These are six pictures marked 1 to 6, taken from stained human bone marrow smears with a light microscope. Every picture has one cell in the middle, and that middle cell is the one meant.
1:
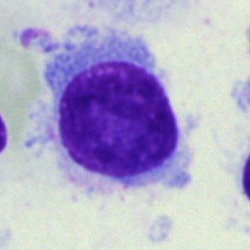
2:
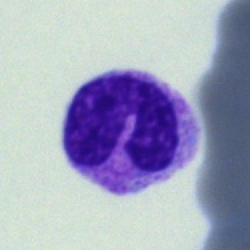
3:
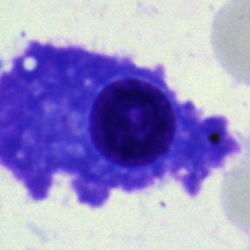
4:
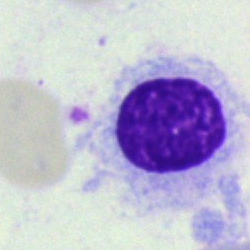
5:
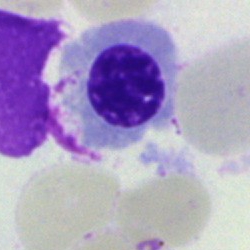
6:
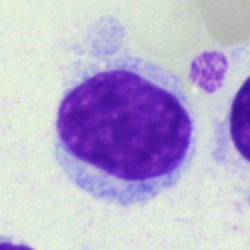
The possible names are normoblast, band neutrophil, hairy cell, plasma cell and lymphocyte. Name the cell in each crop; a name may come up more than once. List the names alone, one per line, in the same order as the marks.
hairy cell
band neutrophil
plasma cell
hairy cell
normoblast
hairy cell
